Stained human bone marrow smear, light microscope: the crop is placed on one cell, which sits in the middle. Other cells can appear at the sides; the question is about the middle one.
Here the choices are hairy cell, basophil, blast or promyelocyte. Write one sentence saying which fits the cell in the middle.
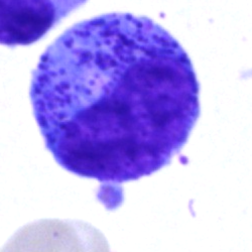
The cell nearest the centre of this crop is a promyelocyte.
